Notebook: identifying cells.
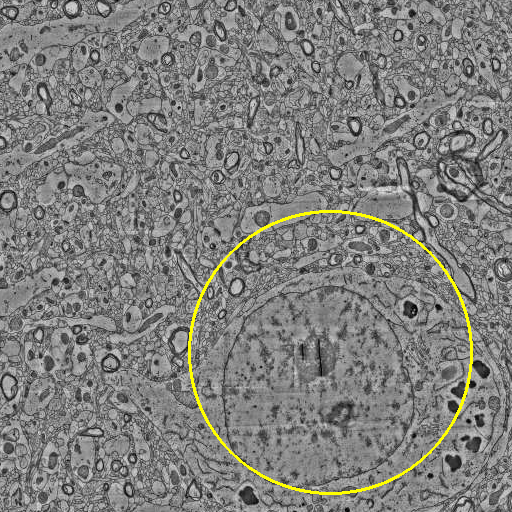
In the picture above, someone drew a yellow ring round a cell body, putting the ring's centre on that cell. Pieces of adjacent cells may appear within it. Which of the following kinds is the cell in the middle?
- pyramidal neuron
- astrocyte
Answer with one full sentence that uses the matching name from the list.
In this picture, the yellow ring is centred on the body of a pyramidal neuron.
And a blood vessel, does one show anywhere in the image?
No, none shows.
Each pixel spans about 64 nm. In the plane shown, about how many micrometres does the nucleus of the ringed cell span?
The nucleus comes to roughly 13 micrometres across in this plane.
